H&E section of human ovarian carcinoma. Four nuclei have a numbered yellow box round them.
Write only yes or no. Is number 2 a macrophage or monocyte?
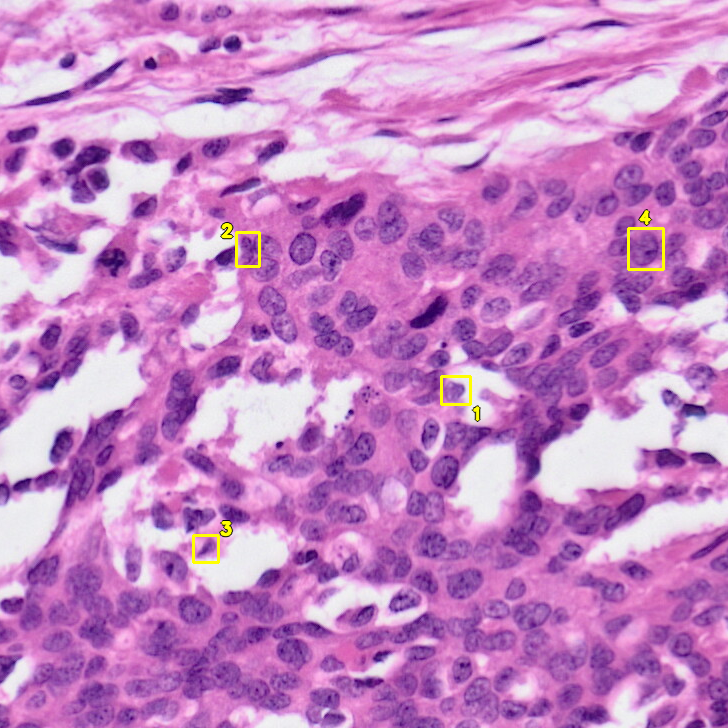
no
